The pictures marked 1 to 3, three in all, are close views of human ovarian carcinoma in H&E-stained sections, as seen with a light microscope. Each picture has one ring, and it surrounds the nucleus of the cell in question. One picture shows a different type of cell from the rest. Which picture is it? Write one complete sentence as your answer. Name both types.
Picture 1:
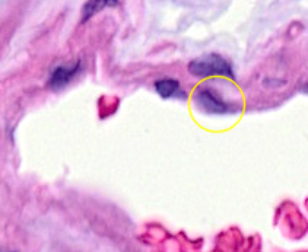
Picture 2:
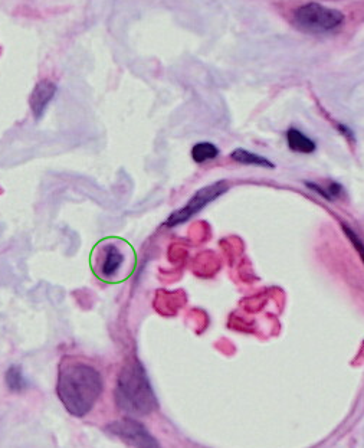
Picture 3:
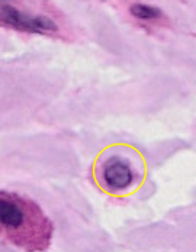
The others show “macrophages or monocytes”, but picture 1 shows an endothelial cell.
